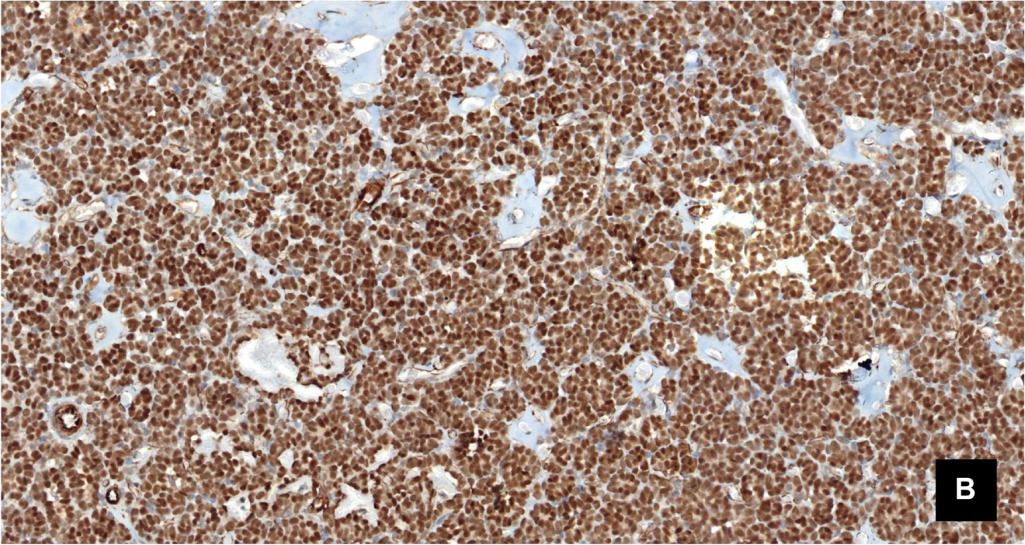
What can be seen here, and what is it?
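A densely cellular epithelial proliferation in which almost every cell has a strongly brown-stained, round to oval nucleus. The cells are arranged in solid sheets and small clusters. These are separated by pale bluish, loose stroma and small spaces. A few thin vessels run between the cell groups.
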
